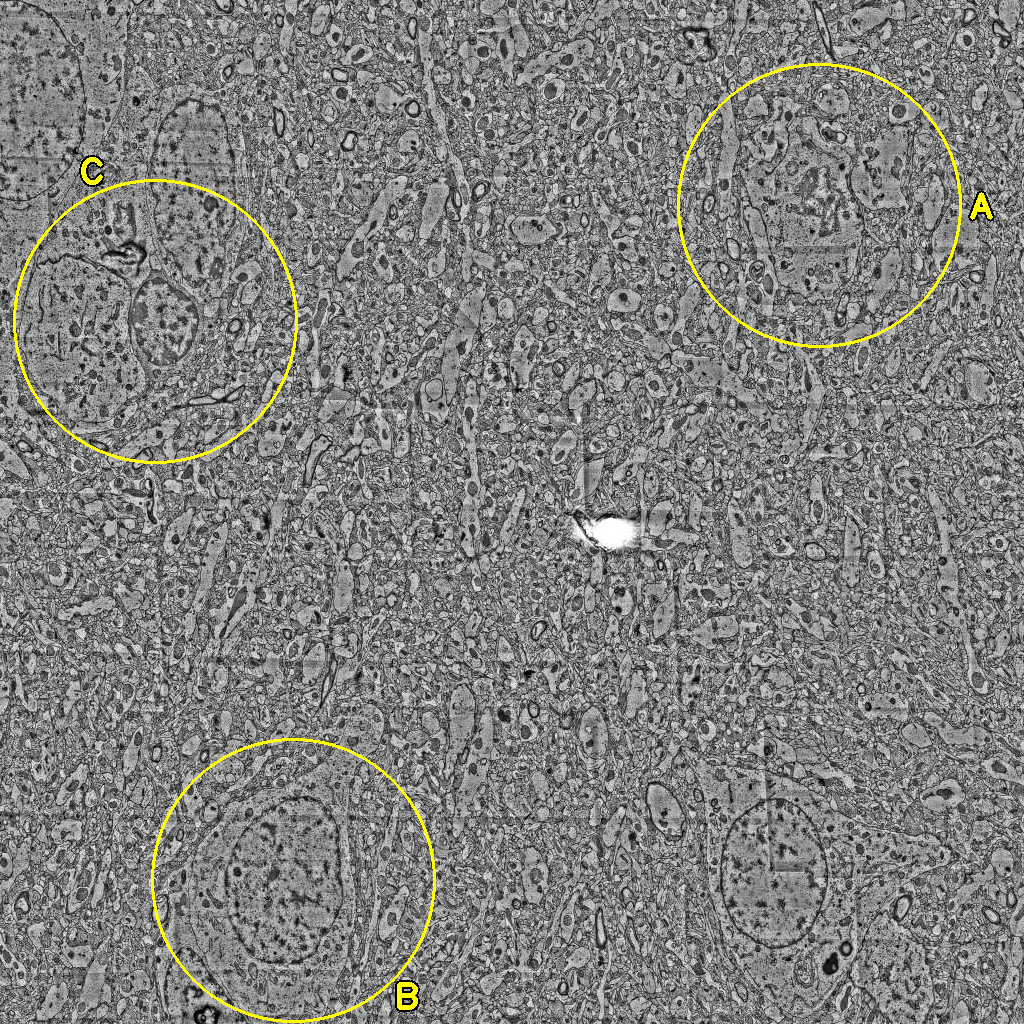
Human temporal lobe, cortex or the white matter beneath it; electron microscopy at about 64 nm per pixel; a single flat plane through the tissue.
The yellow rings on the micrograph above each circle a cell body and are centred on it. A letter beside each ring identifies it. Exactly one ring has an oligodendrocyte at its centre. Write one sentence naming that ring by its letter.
Ring C is the one.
